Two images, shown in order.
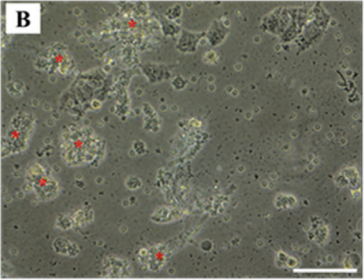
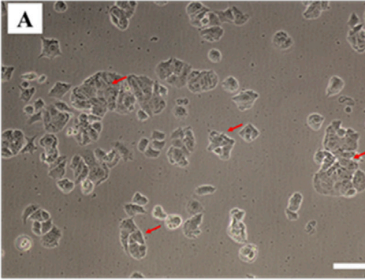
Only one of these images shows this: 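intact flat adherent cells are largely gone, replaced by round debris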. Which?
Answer: The first image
